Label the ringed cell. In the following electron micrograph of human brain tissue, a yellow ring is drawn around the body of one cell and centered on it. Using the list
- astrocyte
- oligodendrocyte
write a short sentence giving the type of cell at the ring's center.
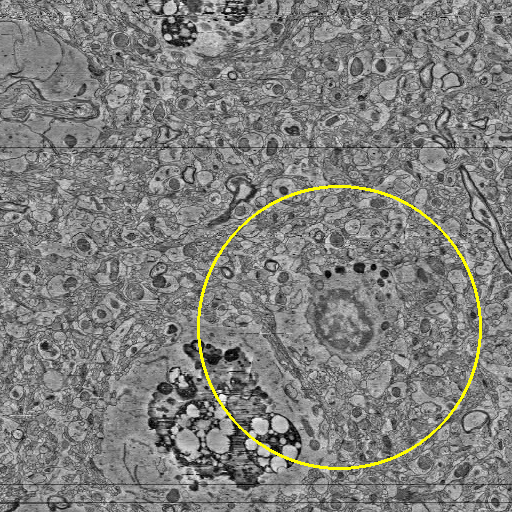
The cell body at the ring's center is that of an oligodendrocyte.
